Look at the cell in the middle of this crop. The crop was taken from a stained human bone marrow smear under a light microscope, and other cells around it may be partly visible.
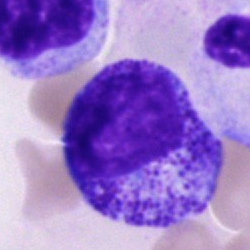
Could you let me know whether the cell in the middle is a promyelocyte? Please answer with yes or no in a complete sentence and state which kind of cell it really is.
Yes, the cell occupying the middle of the crop is a promyelocyte.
